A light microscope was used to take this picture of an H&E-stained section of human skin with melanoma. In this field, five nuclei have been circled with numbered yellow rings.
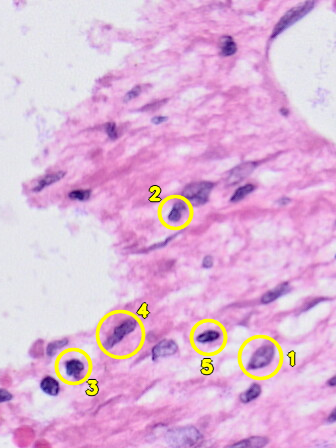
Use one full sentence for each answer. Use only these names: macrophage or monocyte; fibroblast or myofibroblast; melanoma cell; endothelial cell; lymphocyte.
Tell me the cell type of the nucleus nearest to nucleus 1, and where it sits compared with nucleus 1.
It is a lymphocyte, whose nucleus lies below nucleus 1.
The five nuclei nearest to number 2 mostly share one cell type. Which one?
Around number 2, most of the five nearest nuclei are those of fibroblasts or myofibroblasts.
